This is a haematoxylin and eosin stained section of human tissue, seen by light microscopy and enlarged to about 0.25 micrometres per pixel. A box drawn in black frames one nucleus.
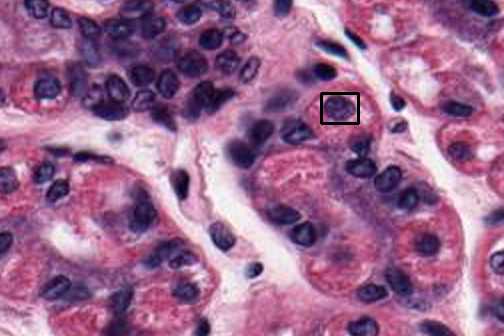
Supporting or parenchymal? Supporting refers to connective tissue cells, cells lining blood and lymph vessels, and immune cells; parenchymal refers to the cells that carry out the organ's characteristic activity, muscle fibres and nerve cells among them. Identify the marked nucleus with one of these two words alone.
parenchymal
